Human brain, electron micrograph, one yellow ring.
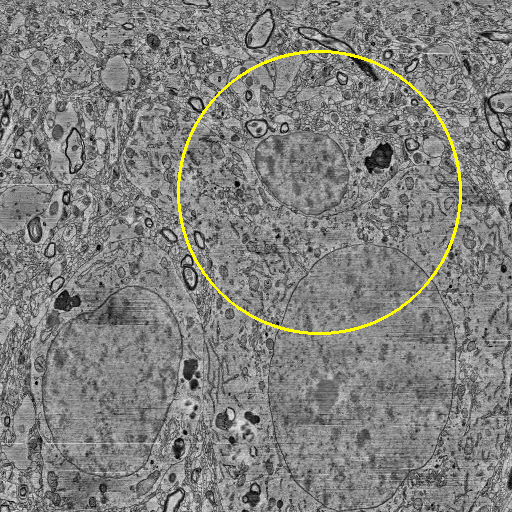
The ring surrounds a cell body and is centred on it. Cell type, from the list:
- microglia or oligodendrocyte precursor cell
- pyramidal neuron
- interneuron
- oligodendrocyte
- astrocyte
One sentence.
The yellow ring circles an oligodendrocyte.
